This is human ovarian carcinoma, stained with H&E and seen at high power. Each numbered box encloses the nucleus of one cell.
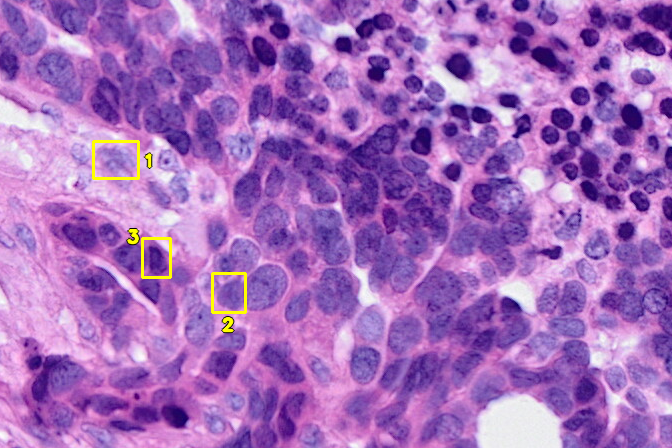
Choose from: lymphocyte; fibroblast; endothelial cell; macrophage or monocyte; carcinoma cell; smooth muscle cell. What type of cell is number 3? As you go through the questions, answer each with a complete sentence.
The one labeled 3 is a carcinoma cell, to put it simply.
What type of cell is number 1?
Cell 1 should be recorded as a fibroblast.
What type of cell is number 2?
The cell indicated by marker 2 is a carcinoma cell in this section.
